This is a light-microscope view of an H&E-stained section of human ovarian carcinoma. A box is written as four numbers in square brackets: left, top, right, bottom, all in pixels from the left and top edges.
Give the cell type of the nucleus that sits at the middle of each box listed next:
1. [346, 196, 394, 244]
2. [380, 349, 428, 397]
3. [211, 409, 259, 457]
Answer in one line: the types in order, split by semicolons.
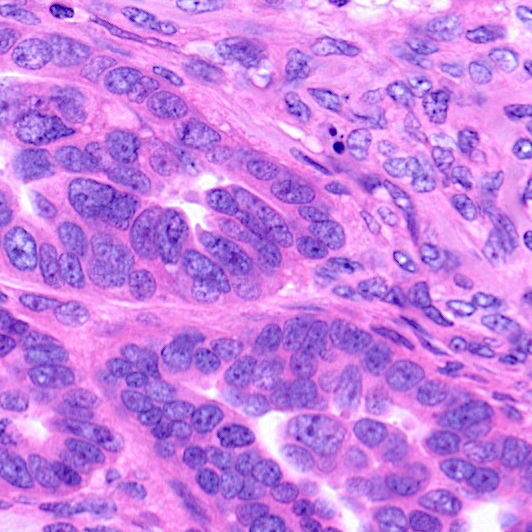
fibroblast; carcinoma cell; carcinoma cell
